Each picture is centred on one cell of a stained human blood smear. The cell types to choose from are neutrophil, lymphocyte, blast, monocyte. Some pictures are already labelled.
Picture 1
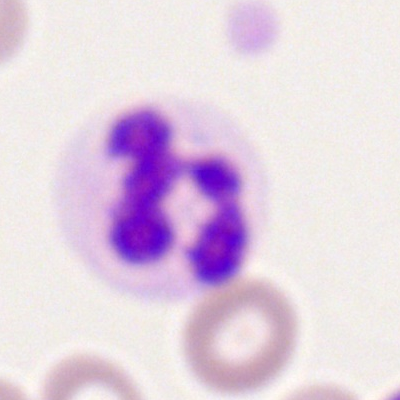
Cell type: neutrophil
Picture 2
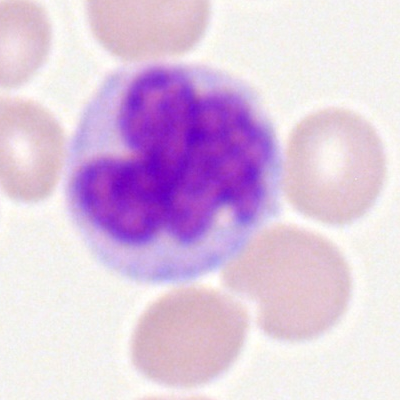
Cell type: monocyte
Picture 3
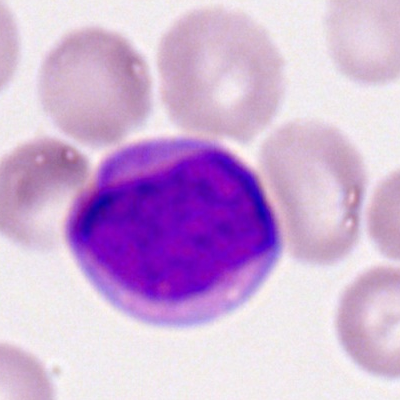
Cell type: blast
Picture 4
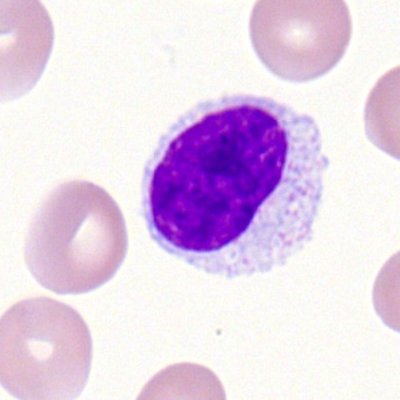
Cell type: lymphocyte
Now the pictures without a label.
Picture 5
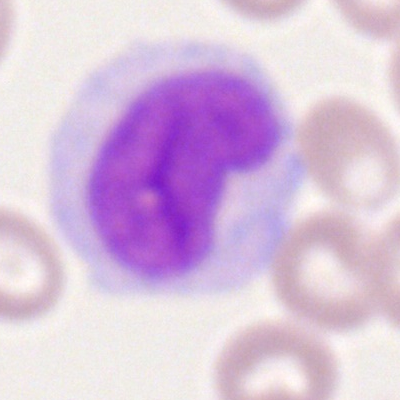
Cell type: monocyte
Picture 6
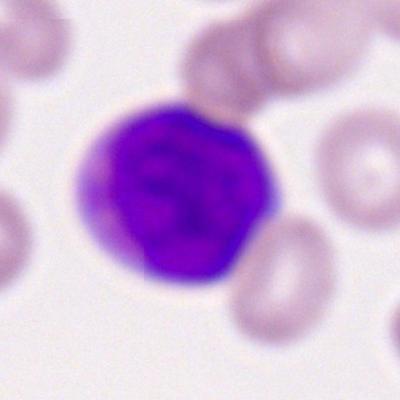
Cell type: blast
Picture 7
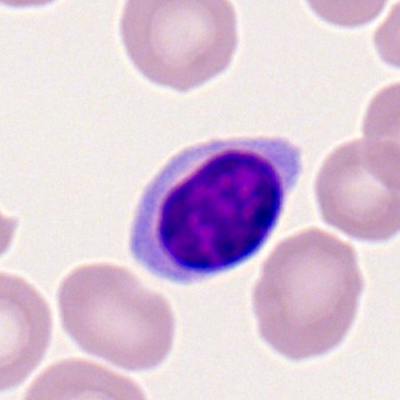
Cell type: lymphocyte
